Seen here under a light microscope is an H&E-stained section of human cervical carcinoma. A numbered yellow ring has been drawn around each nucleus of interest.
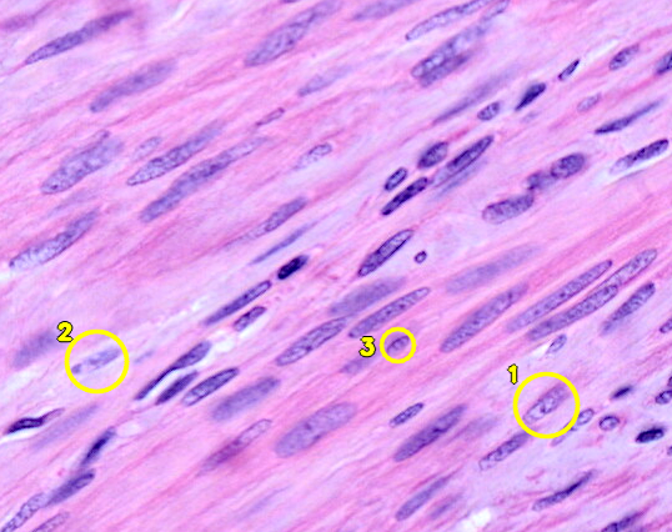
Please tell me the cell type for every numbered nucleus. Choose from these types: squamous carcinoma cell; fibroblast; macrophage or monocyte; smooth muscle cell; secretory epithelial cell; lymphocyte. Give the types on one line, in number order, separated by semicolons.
smooth muscle cell; fibroblast; smooth muscle cell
